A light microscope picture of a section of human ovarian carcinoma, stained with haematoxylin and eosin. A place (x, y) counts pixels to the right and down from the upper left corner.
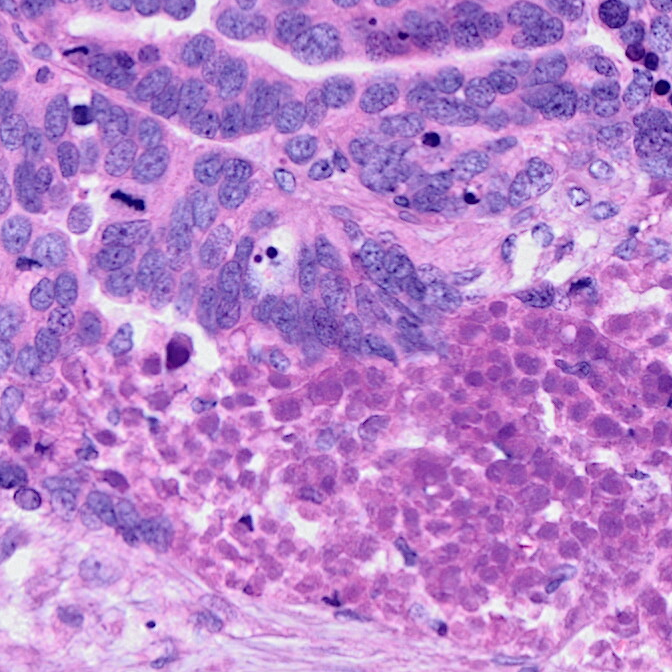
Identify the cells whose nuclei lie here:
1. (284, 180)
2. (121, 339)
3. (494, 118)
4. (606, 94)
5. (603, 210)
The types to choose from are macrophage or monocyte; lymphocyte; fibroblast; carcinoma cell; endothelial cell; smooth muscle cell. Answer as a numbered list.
1. fibroblast
2. macrophage or monocyte
3. carcinoma cell
4. carcinoma cell
5. fibroblast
